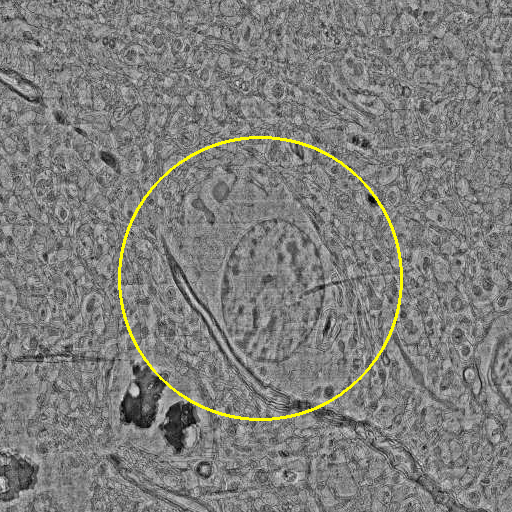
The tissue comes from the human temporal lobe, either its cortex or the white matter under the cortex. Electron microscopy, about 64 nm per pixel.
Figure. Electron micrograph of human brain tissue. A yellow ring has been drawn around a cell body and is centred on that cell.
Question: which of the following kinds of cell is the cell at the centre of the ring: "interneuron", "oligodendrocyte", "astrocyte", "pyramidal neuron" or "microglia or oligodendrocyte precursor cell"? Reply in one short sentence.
The cell at the centre of the ring is an astrocyte.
